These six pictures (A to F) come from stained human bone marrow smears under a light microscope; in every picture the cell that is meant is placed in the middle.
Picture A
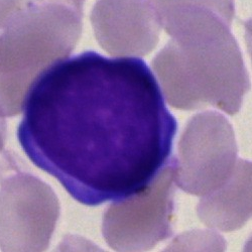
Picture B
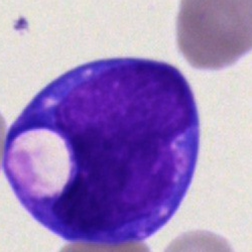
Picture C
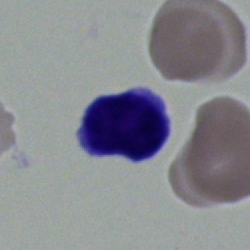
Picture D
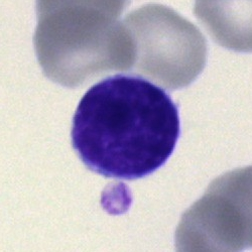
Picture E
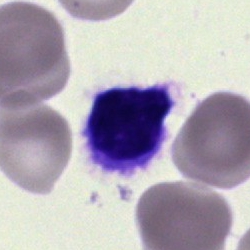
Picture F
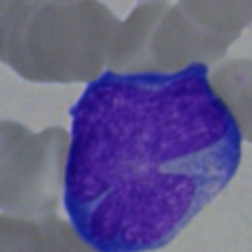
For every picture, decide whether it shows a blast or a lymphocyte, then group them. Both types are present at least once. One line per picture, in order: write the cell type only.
blast
blast
lymphocyte
lymphocyte
lymphocyte
blast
